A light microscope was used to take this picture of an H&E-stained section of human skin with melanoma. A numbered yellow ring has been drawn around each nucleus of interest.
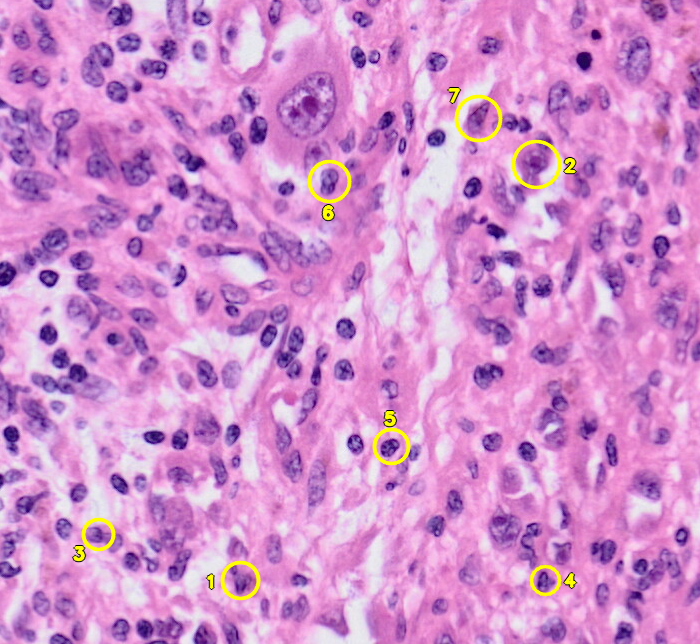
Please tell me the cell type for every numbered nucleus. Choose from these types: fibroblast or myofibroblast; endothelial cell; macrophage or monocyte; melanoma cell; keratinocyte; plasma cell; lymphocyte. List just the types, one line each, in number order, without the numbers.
macrophage or monocyte
melanoma cell
macrophage or monocyte
macrophage or monocyte
lymphocyte
lymphocyte
macrophage or monocyte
